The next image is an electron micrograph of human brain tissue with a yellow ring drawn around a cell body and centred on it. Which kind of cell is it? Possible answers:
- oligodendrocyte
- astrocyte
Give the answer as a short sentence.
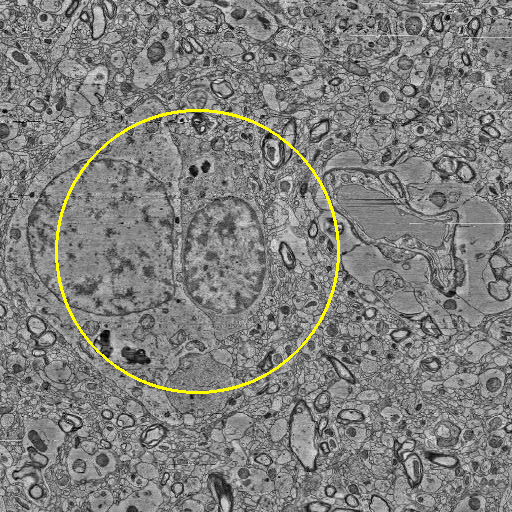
In the ring's centre is an oligodendrocyte.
